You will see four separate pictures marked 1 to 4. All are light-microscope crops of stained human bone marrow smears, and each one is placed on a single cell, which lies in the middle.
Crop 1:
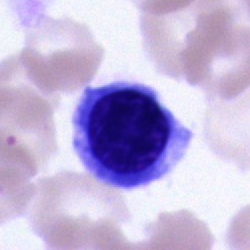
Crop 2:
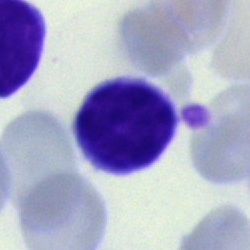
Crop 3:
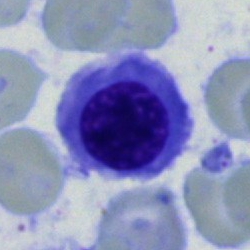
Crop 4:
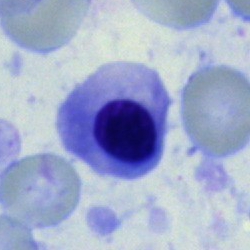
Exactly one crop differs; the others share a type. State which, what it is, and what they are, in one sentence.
Crop 2 does not match the others; it shows a lymphocyte, and they show erythroblasts.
